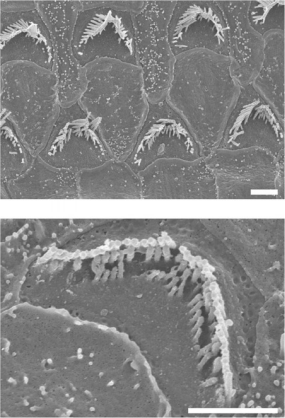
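These are scanning electron micrographs of the apical surface of outer hair cells of the cochlea. The upper image shows several hair cells set in rows within a mosaic of polygonal surfaces outlined by cell borders. Each hair cell carries a bundle of stereocilia arranged in a V or W shape. The surrounding surfaces of supporting cells are dotted with small projections. The lower image is a closer view of a single hair bundle. It shows rows of rod-like stereocilia of graded height standing along a curved line on the smooth apical surface of the hair cell.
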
